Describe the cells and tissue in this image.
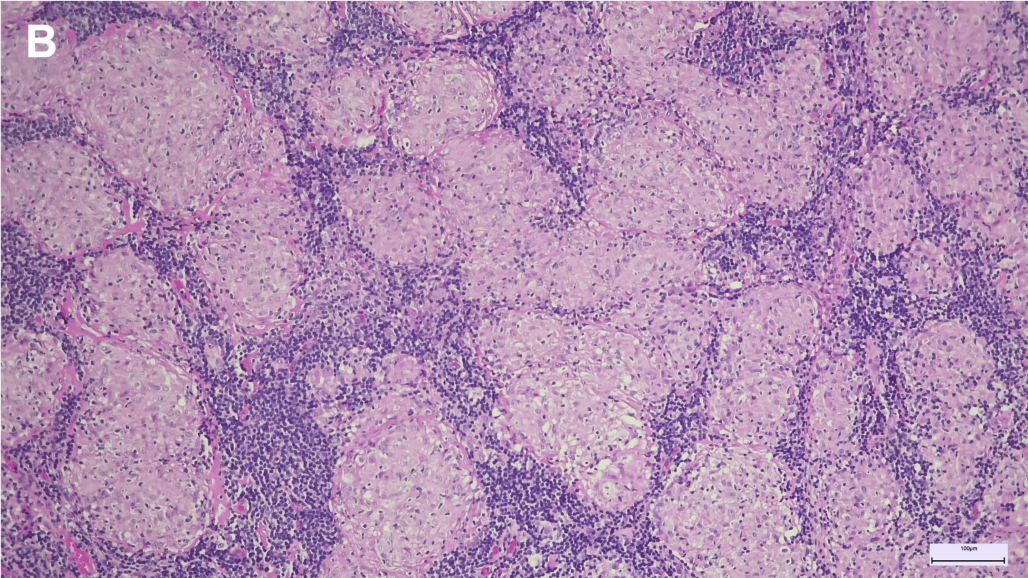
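Lymph node with numerous epithelioid granulomas: well-defined rounded nests of pale pink cells with abundant eosinophilic cytoplasm and oval to elongated pale nuclei. Between the nests lie bands and patches of small round lymphocytes with dark nuclei and scant cytoplasm. Some nests abut and merge with neighbours, and no necrosis is seen in their centres.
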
